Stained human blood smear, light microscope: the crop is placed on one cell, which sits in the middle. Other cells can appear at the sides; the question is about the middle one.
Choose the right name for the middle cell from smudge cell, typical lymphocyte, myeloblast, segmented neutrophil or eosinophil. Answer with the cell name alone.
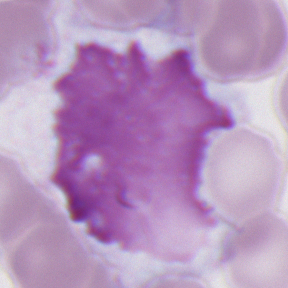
smudge cell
